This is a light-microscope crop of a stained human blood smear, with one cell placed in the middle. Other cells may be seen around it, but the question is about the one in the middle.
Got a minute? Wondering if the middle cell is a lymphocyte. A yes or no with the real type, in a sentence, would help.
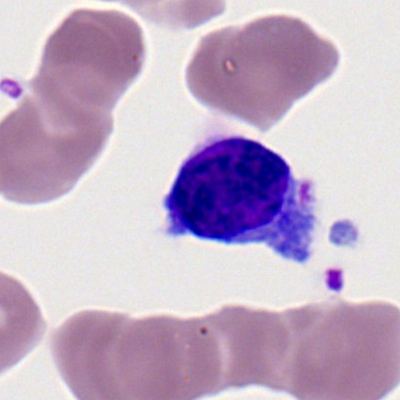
Yes, the cell occupying the middle of the crop is a lymphocyte.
